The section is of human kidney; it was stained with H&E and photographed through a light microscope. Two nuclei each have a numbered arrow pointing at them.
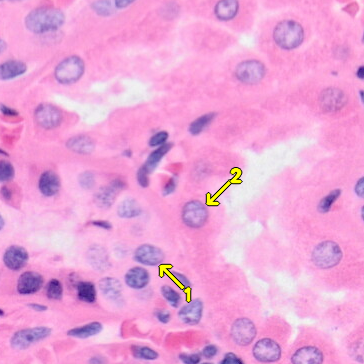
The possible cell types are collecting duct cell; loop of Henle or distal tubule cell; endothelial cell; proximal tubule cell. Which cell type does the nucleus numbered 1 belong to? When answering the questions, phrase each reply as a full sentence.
The cell marked with number 1 is a collecting duct cell.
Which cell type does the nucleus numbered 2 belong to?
Belonging to a proximal tubule cell is the nucleus that carries the number 2.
